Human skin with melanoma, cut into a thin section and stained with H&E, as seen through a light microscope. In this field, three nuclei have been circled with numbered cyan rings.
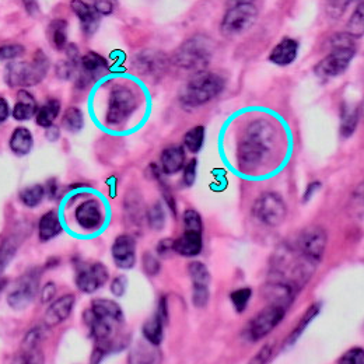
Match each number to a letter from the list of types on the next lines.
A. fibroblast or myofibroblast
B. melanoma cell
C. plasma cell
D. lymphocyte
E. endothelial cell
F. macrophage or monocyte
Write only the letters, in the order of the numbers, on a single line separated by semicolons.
D; B; B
